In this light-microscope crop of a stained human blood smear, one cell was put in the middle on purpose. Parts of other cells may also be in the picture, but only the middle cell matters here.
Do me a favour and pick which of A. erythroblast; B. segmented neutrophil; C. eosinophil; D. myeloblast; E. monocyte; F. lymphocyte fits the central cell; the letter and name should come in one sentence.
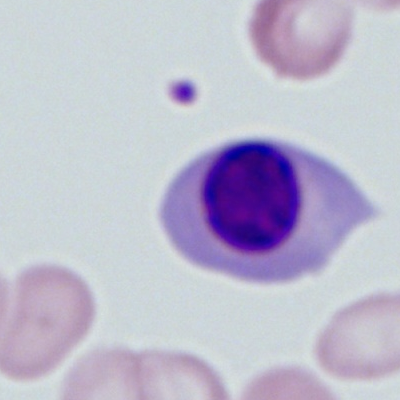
The cell in the middle is an erythroblast, and that makes option A correct.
